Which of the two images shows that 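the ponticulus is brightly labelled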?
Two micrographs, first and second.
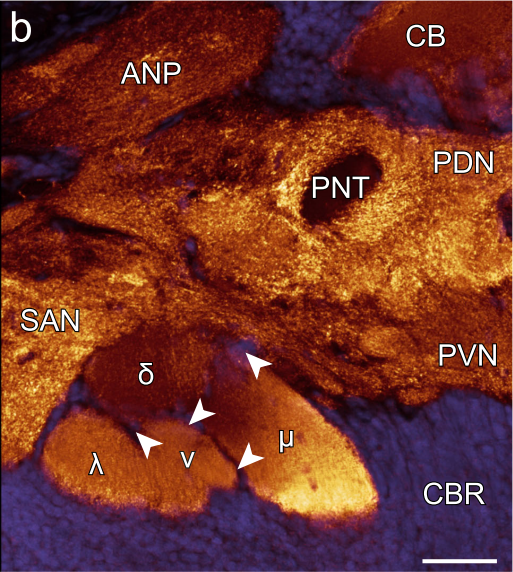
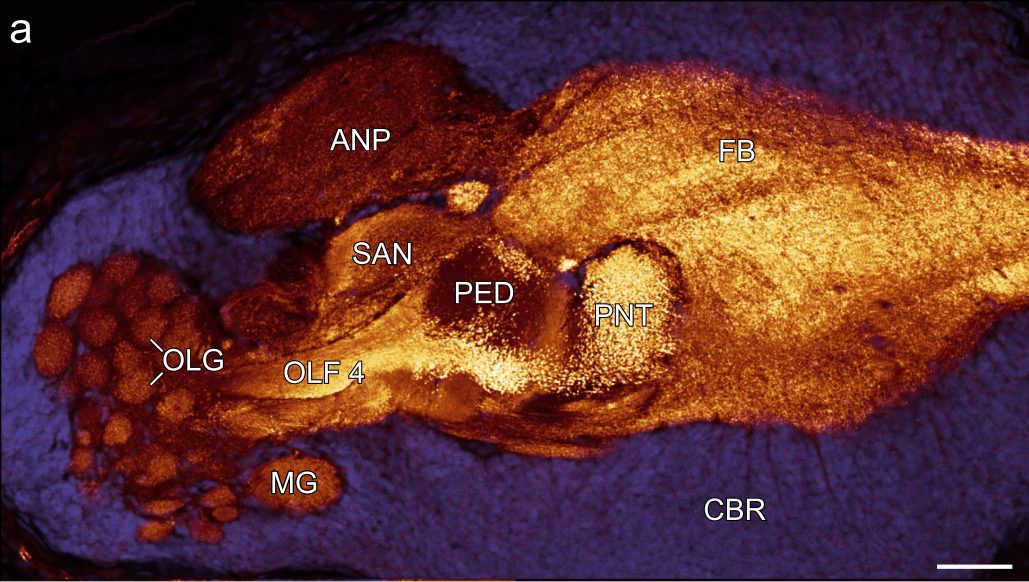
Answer: The second image.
